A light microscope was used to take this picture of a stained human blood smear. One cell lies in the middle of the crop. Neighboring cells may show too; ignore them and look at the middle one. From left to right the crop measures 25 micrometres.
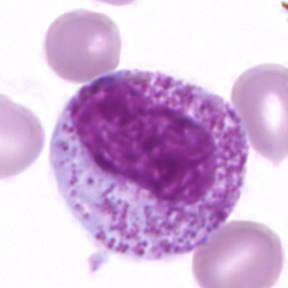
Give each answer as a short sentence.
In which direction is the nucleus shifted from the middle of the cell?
The nucleus lies toward the top of the cell.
